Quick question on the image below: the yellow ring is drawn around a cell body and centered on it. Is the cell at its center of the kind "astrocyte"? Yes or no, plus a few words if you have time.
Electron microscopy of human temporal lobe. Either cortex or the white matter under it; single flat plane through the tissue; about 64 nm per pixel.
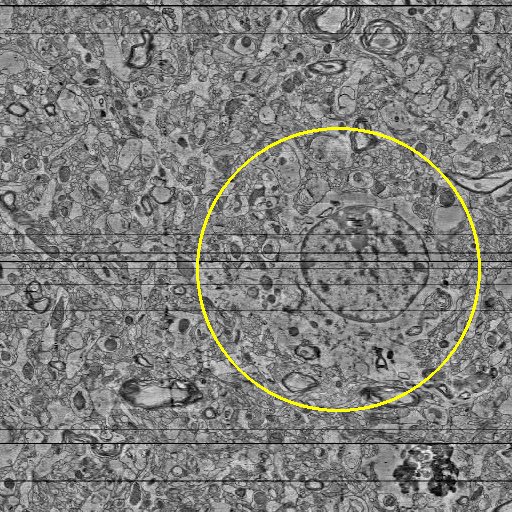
Yes, the cell at the center is of that kind.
